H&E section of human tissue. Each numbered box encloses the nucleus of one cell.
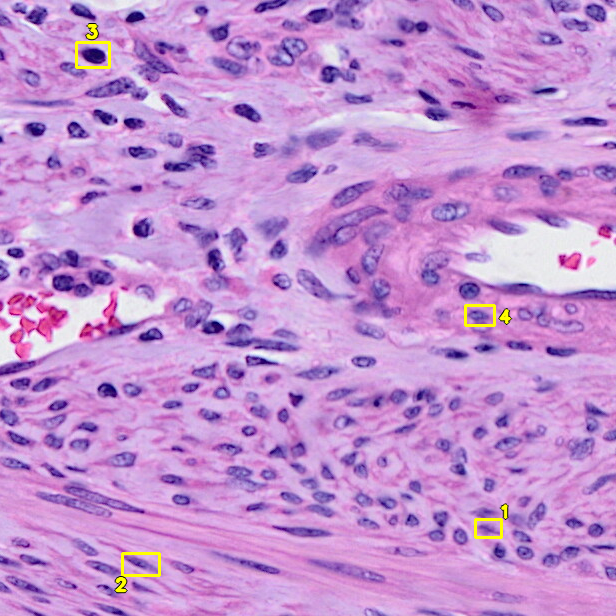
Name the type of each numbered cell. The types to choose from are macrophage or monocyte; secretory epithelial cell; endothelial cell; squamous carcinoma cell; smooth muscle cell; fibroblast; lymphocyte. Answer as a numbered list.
1. smooth muscle cell
2. smooth muscle cell
3. lymphocyte
4. smooth muscle cell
